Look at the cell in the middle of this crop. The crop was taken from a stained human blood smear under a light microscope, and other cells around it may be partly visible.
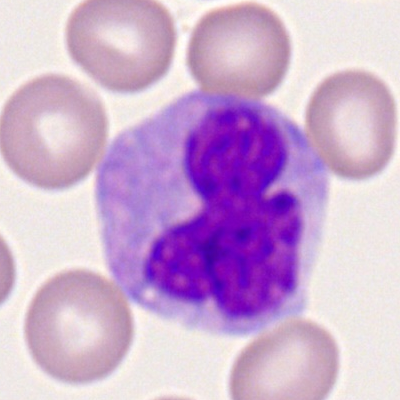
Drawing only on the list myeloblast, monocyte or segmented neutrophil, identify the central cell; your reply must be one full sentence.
Present in the middle of the crop is a monocyte.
